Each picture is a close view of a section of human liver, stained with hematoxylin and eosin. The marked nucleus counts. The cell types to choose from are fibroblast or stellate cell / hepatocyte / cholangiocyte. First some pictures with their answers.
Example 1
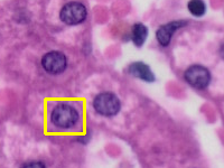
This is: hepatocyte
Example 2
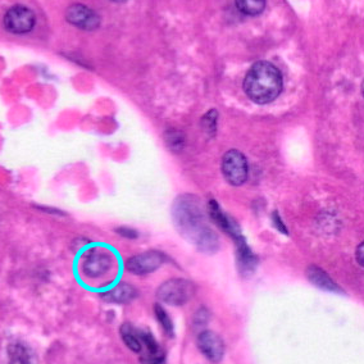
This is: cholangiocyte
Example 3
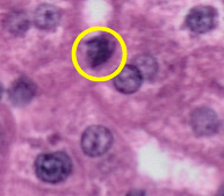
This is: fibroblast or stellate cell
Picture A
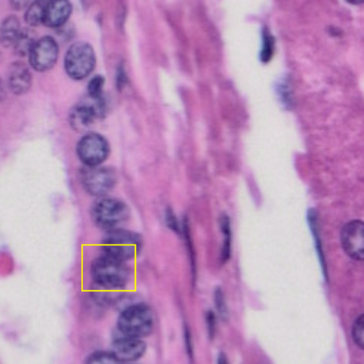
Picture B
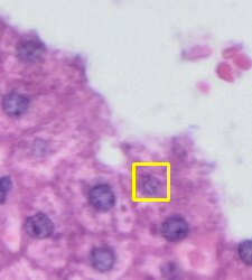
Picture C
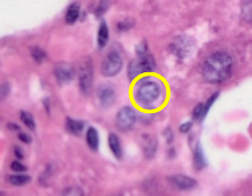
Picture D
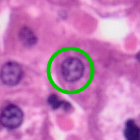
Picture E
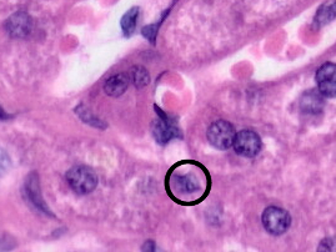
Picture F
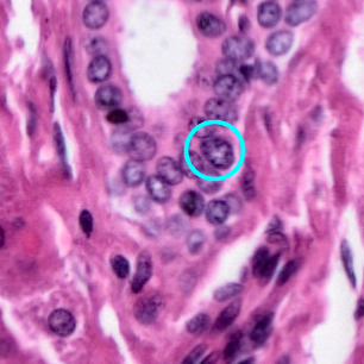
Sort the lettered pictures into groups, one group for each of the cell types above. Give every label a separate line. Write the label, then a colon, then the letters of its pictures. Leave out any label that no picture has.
fibroblast or stellate cell: E
hepatocyte: B, D
cholangiocyte: A, C, F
